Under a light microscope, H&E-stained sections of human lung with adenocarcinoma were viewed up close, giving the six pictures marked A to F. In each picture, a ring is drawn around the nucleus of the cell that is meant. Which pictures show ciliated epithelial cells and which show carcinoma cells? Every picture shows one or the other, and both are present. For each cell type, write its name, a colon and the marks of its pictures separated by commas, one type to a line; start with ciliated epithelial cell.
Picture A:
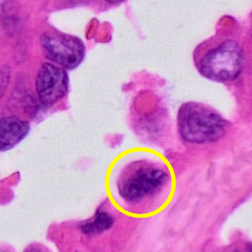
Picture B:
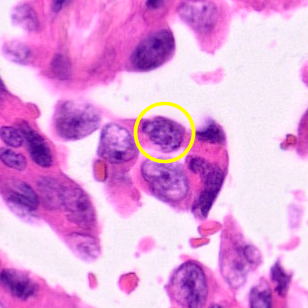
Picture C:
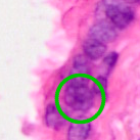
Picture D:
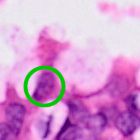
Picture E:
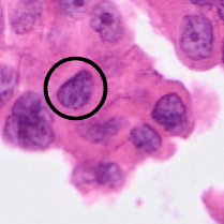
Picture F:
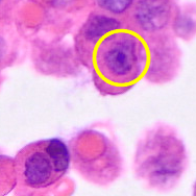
ciliated epithelial cell: C, D
carcinoma cell: A, B, E, F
